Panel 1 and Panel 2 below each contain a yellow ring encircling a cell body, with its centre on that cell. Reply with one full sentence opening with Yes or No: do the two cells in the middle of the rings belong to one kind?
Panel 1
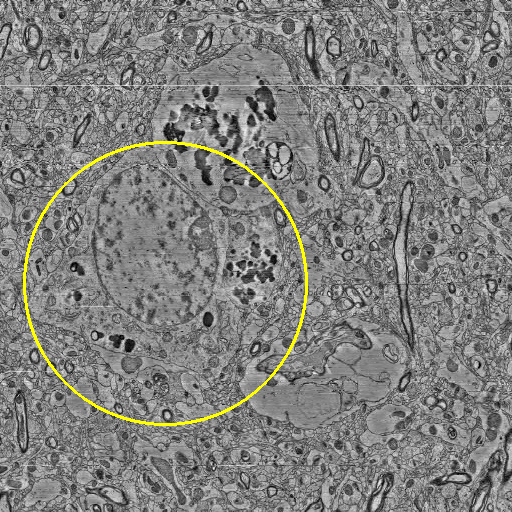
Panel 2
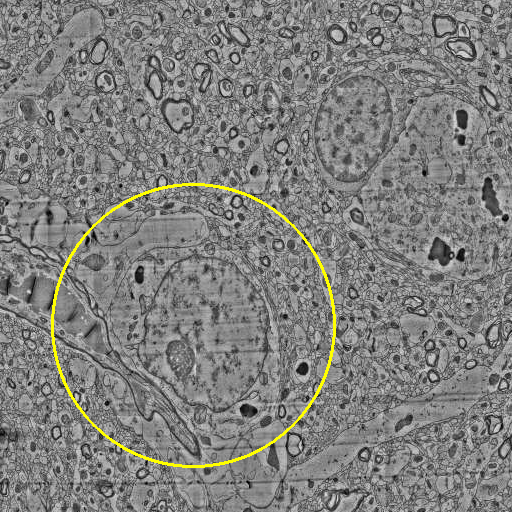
No, the cells at the middle of the Panel 1 ring and the Panel 2 ring are of two kinds.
